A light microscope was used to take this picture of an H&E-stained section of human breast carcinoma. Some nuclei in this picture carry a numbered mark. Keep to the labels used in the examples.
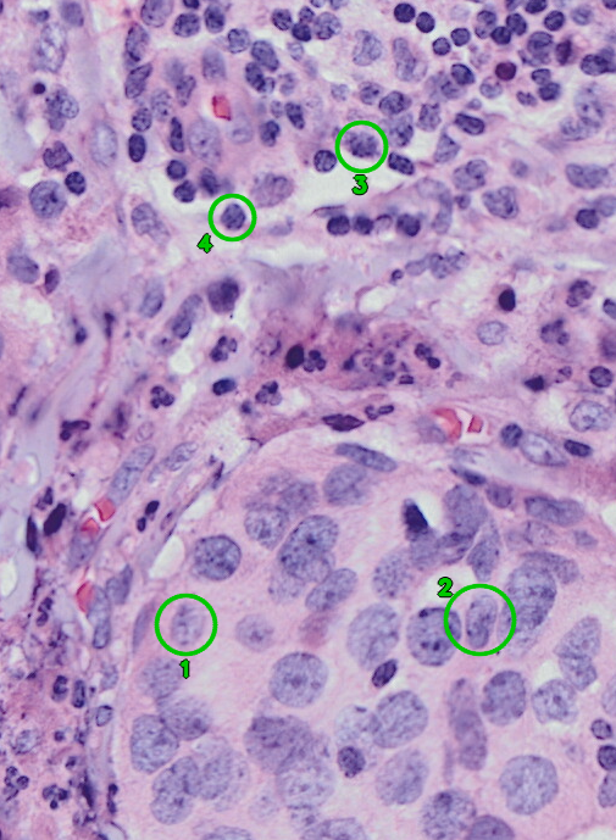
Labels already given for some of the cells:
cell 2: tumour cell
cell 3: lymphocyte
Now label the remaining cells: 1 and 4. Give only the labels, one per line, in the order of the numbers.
tumour cell
lymphocyte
